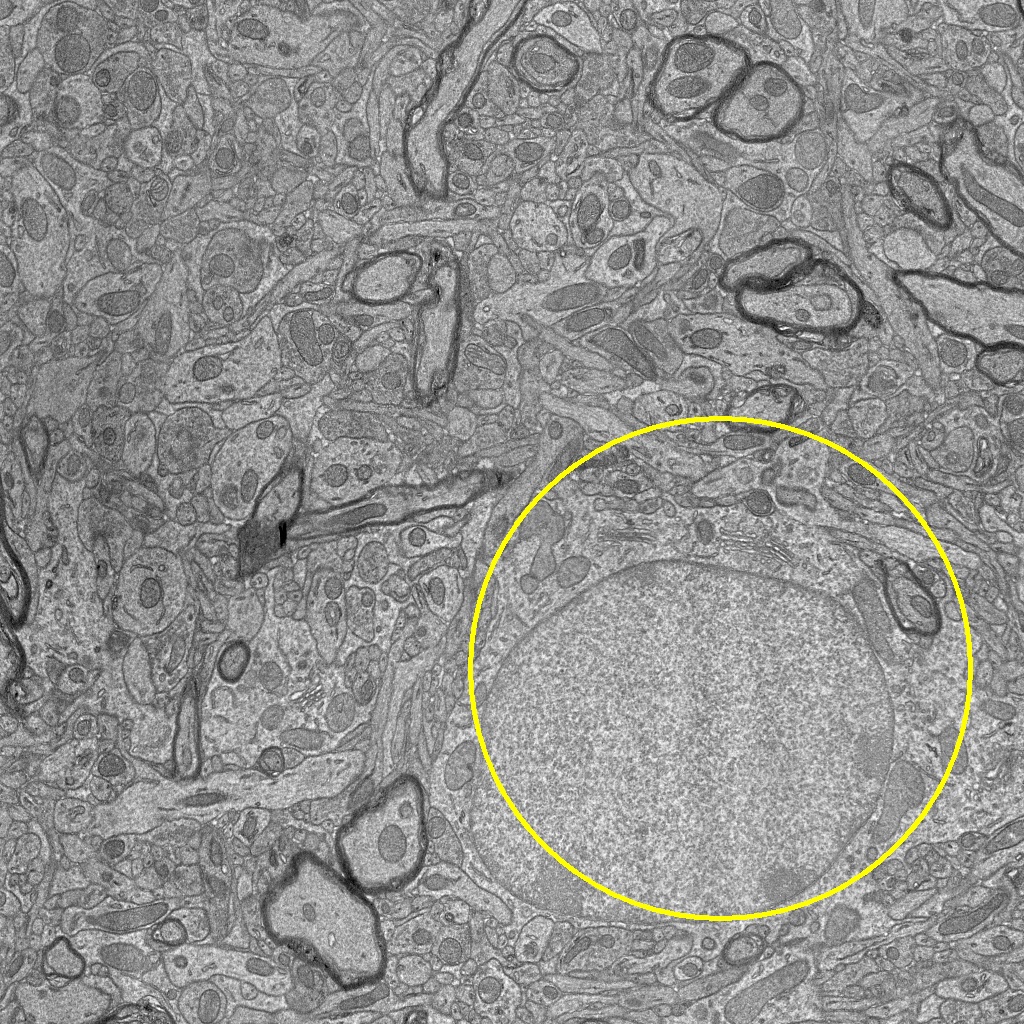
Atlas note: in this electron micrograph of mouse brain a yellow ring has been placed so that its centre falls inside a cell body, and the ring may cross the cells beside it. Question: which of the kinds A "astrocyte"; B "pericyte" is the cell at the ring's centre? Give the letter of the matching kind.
A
